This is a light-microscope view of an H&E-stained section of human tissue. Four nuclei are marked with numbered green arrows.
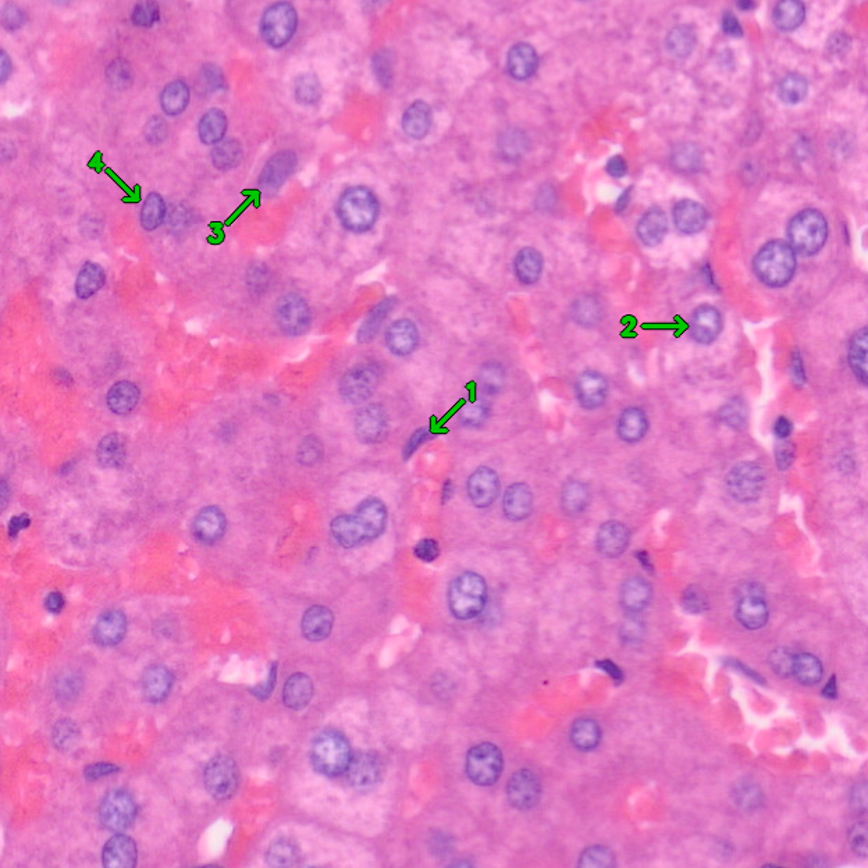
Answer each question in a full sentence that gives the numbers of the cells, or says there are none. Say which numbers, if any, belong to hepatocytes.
The cells marked 2 and 4 in the section are hepatocytes.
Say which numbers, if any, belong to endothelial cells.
Just one of the numbered cells is an endothelial cell, namely number 1.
